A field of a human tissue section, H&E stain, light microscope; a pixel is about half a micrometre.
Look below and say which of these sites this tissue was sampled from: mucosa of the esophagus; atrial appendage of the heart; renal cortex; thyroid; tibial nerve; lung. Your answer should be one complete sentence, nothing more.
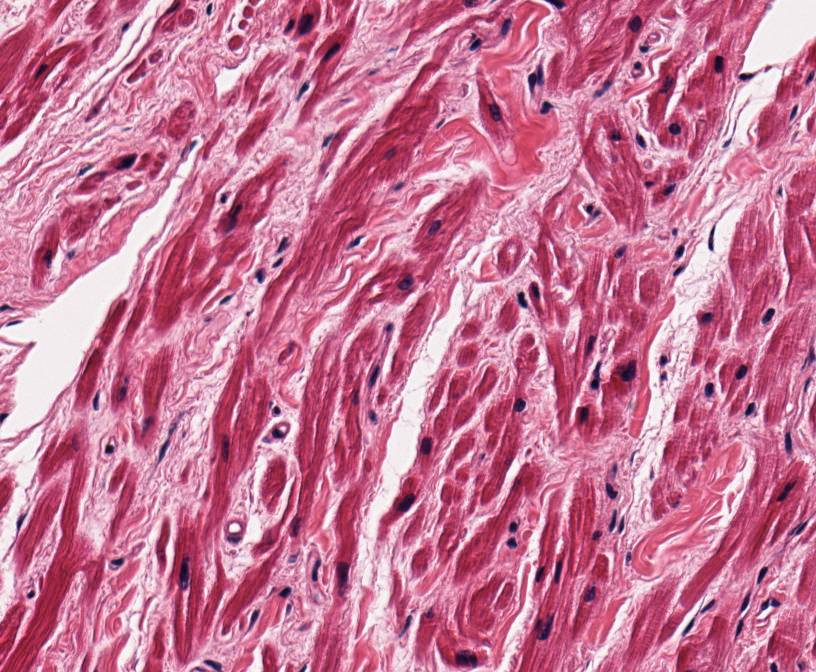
This section consists of tissue sampled from the atrial appendage of the heart.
